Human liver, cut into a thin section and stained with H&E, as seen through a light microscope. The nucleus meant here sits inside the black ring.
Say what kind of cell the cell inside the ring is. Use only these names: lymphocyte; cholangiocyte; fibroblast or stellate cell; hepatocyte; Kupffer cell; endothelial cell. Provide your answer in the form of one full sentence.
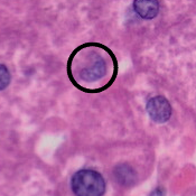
The cell type of the cell inside the ring is that of a Kupffer cell.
